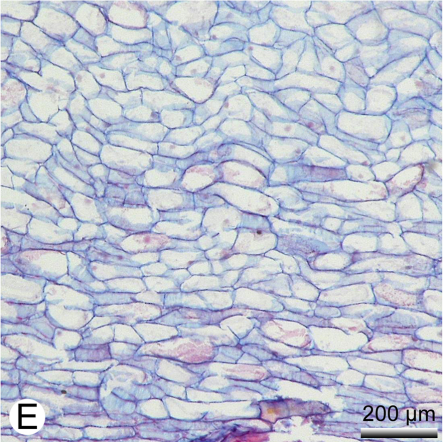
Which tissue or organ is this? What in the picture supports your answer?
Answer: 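The panel is filled with closely packed, roughly isodiametric to elongate cells with thin walls. Cell walls stain mostly pale blue with little red.
Answer: parenchymatous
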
